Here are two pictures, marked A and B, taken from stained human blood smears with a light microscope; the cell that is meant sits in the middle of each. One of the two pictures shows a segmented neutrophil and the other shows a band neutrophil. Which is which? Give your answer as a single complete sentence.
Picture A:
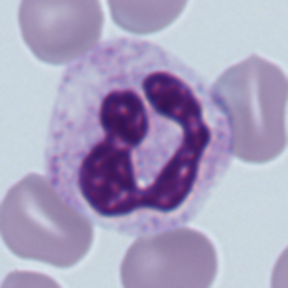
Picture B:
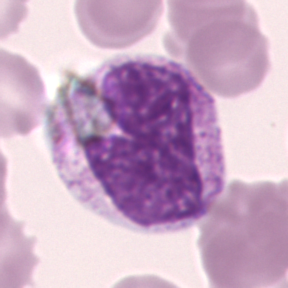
Picture A is of a segmented neutrophil, and picture B is of a band neutrophil.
